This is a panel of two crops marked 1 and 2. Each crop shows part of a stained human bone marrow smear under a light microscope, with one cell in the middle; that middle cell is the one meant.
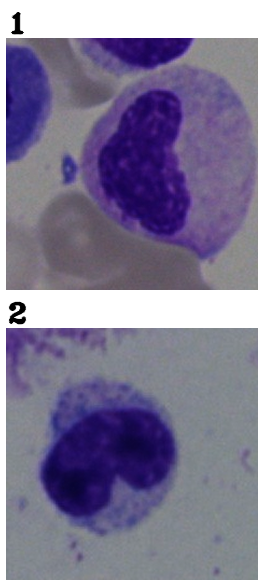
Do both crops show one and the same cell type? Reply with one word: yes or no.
yes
